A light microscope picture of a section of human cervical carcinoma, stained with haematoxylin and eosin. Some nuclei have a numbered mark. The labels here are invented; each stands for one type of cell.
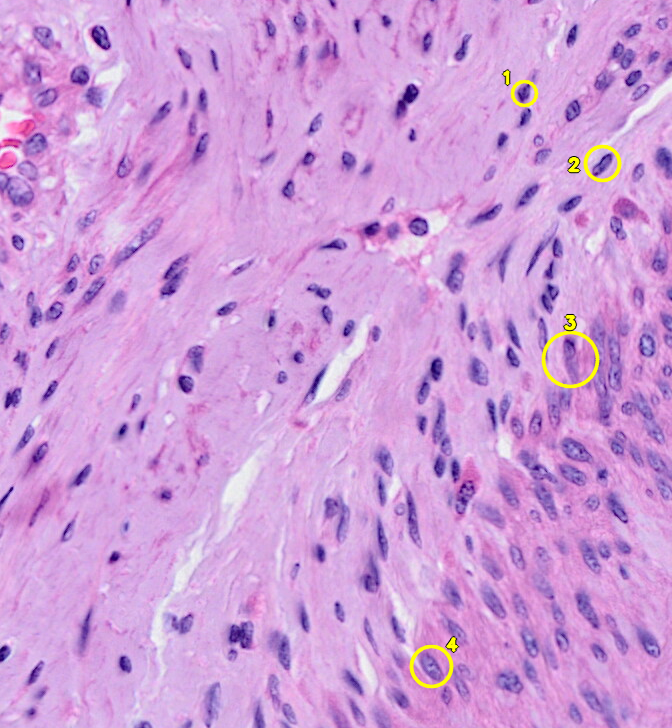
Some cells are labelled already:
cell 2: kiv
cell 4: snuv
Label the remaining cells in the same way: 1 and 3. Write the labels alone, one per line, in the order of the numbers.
kiv
snuv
